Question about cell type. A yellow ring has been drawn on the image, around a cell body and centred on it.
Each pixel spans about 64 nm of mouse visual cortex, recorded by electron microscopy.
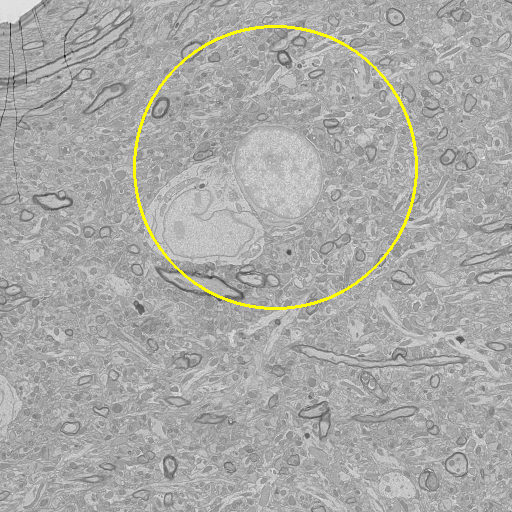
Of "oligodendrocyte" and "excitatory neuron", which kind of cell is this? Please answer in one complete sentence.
At the centre of the ring lies an oligodendrocyte.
